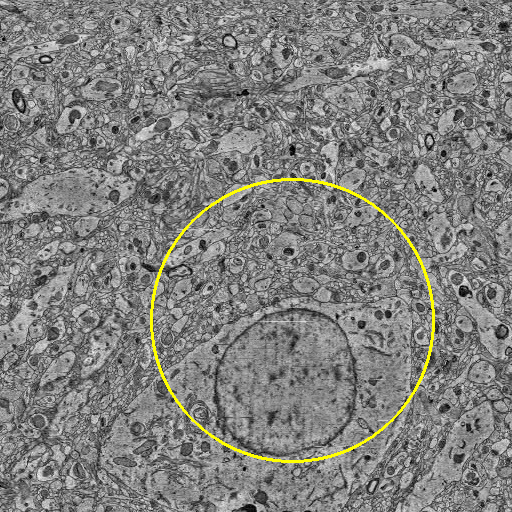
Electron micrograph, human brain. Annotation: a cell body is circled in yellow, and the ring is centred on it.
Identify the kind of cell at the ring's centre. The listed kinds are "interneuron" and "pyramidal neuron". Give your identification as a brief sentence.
The circled cell body is that of a pyramidal neuron.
